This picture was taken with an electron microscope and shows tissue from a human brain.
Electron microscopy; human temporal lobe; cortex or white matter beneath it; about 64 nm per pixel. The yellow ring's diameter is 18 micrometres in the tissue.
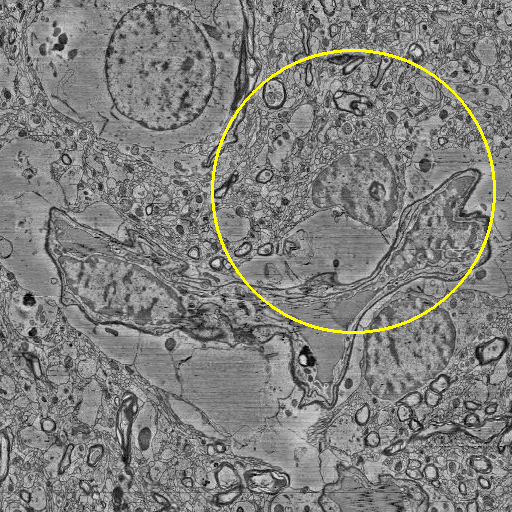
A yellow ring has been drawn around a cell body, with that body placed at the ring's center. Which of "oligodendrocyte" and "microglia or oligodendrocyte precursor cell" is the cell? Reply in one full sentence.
In this picture, an oligodendrocyte is the cell at the center of the yellow ring.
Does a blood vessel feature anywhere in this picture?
Yes, there is a blood vessel.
